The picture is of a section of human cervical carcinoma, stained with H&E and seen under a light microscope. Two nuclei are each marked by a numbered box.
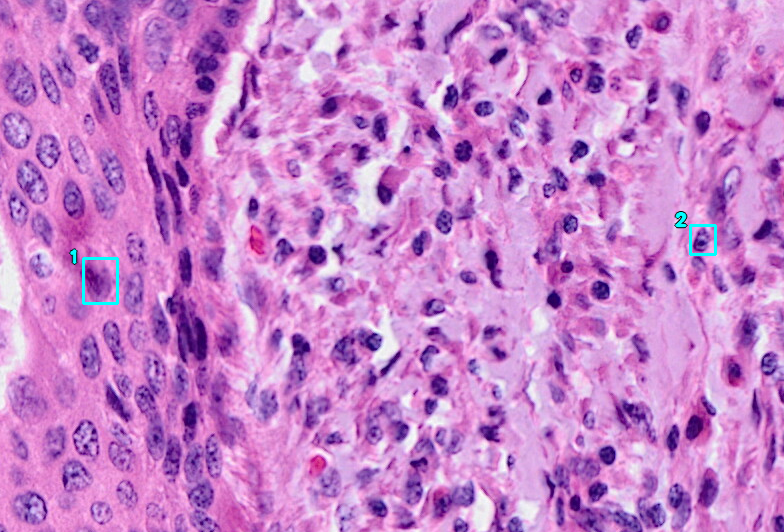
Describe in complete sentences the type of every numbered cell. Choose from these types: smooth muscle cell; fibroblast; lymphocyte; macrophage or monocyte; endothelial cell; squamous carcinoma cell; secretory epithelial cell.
Cell 1 is a squamous carcinoma cell. Cell 2 is a lymphocyte.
